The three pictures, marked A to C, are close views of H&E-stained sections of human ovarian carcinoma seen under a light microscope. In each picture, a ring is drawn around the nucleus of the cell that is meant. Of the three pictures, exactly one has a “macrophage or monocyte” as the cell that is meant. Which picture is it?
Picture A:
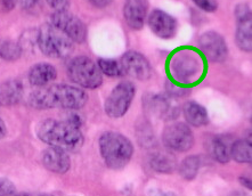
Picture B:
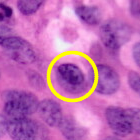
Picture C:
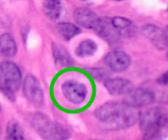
C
